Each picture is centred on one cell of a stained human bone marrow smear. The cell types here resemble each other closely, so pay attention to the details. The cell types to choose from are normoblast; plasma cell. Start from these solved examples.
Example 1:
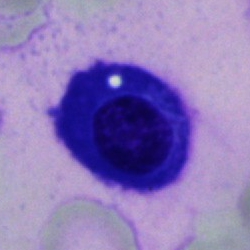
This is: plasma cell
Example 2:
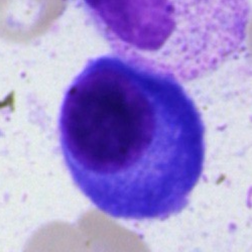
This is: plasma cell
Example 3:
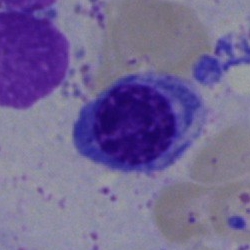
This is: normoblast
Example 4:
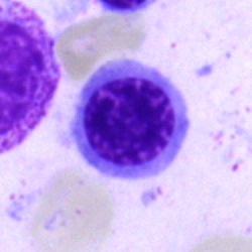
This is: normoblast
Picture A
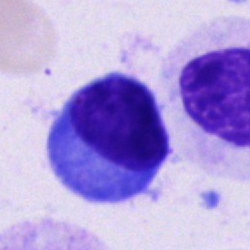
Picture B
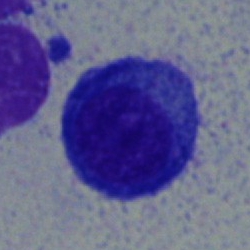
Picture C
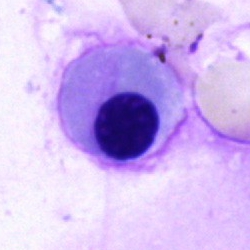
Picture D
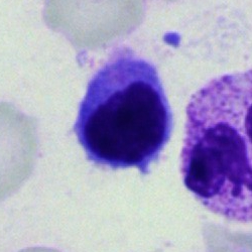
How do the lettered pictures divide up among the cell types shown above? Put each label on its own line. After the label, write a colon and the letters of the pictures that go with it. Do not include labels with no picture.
normoblast: C, D
plasma cell: A, B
